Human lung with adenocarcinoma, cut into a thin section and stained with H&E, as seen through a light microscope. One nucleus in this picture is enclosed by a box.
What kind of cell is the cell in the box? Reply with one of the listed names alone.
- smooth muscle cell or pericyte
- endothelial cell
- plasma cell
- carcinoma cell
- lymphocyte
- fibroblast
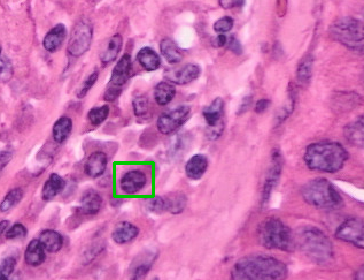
plasma cell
